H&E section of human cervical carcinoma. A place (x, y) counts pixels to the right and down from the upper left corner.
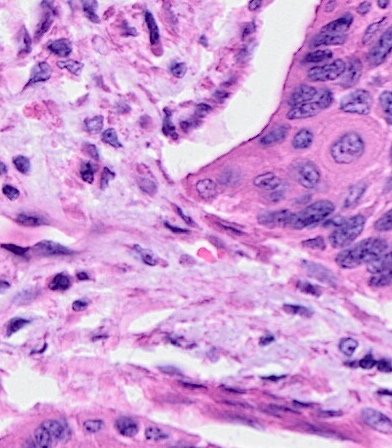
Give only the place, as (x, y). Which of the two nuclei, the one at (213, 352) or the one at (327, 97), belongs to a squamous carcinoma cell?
(327, 97)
